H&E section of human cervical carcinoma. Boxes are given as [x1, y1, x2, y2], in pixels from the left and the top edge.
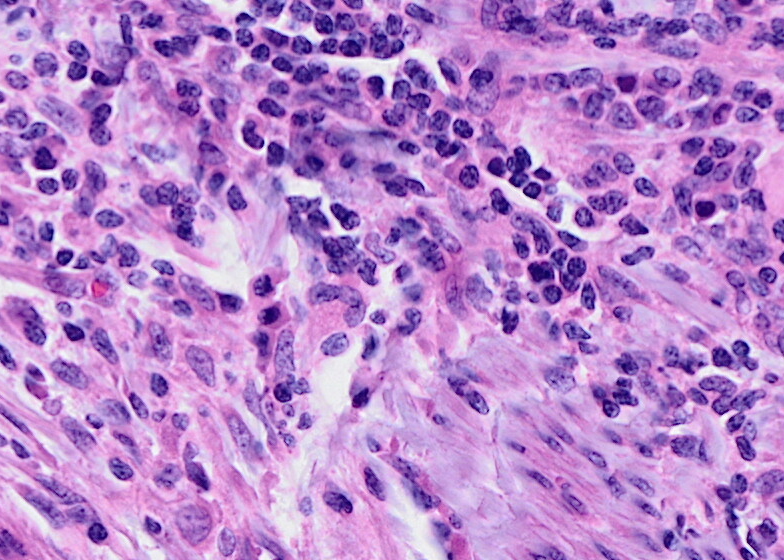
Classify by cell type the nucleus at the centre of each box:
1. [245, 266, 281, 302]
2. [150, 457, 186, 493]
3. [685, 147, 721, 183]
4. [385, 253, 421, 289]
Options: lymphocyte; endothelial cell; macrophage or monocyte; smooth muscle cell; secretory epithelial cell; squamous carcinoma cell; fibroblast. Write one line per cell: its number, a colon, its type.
1: lymphocyte
2: macrophage or monocyte
3: lymphocyte
4: lymphocyte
